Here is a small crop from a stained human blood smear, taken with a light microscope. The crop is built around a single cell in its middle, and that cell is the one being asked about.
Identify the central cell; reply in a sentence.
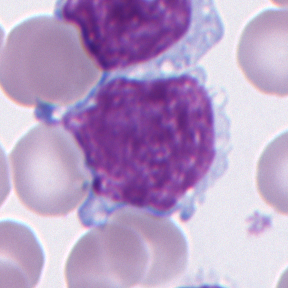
Present in the middle of the crop is a typical lymphocyte.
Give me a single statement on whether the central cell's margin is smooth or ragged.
The cell membrane follows an uneven contour, either ragged or bearing projections.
